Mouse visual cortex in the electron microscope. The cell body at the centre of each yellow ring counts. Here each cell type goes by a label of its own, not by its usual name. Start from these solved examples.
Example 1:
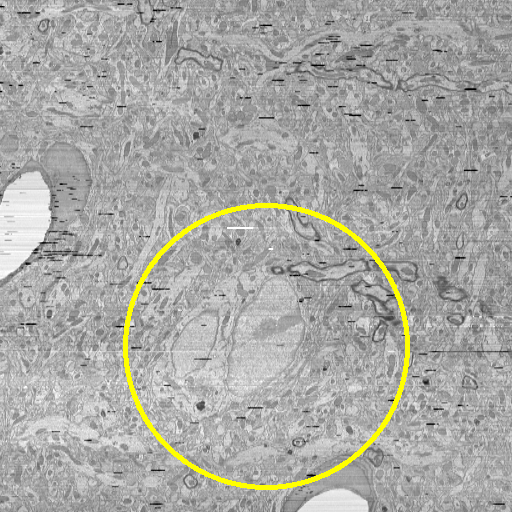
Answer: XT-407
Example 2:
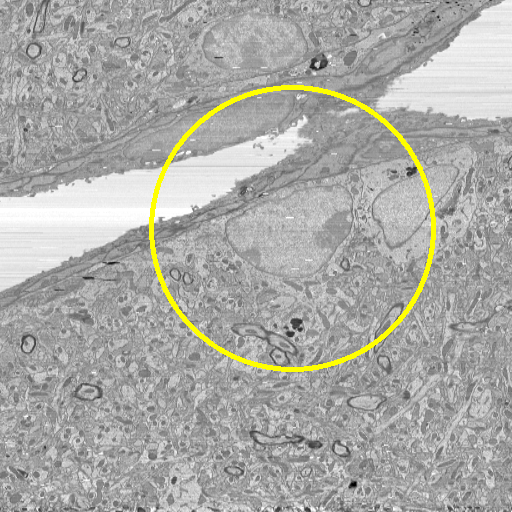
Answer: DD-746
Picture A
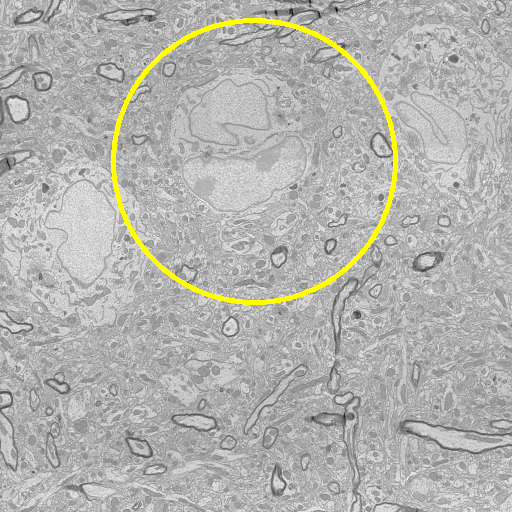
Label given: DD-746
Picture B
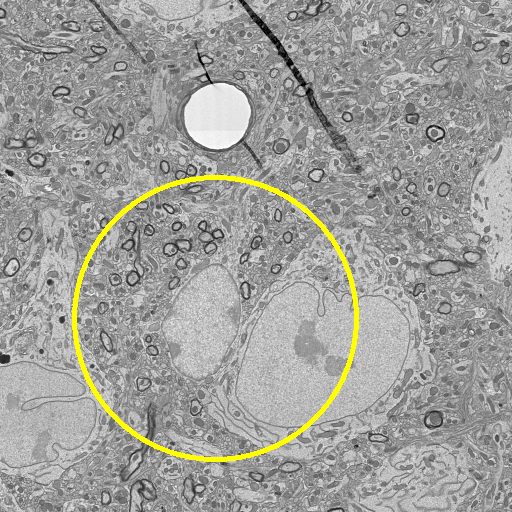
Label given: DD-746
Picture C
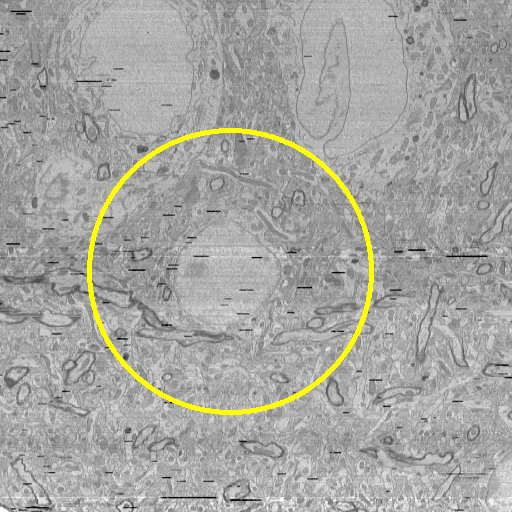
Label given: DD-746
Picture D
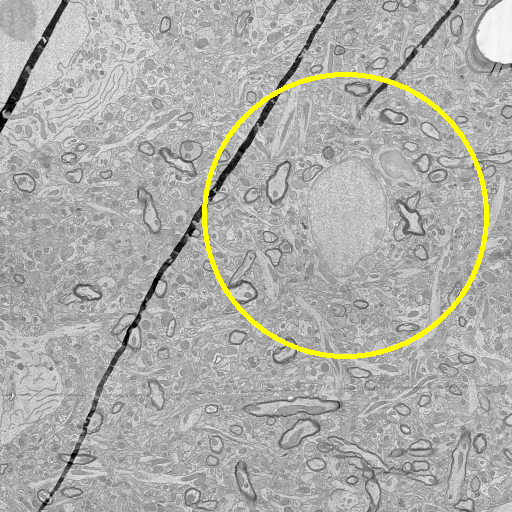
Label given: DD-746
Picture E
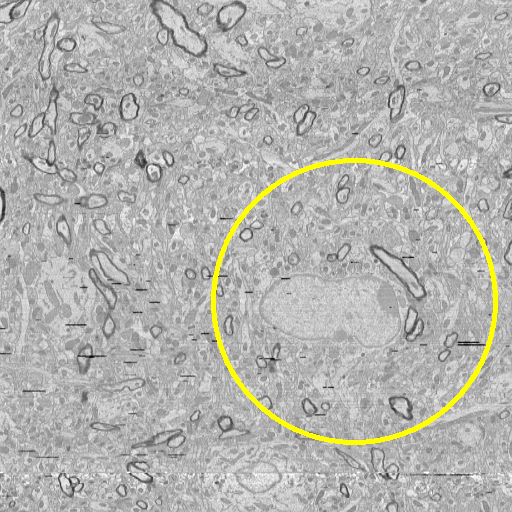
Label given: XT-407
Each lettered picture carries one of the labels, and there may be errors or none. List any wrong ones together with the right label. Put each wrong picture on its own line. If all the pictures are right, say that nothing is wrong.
A: not DD-746 but XT-407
